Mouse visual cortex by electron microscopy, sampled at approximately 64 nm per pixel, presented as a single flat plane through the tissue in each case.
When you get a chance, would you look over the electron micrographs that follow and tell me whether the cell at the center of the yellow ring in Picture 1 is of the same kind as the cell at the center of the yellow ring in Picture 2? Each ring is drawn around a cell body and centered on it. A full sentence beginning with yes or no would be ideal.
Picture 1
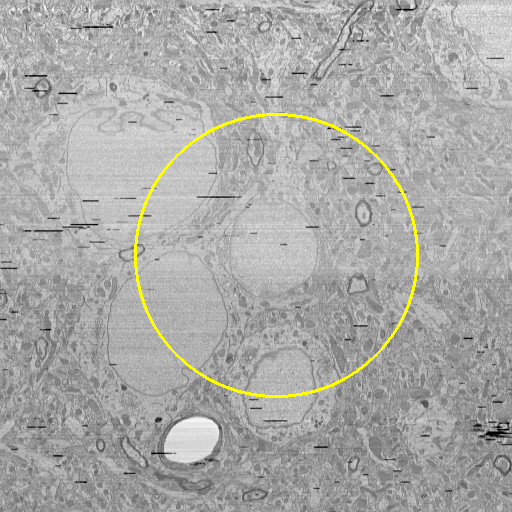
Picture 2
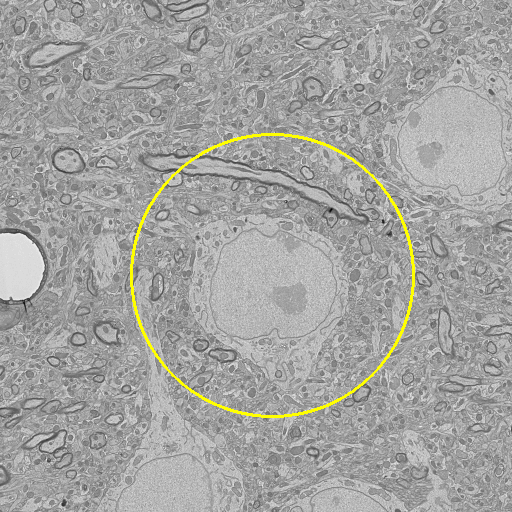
No, they are two kinds of cell.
